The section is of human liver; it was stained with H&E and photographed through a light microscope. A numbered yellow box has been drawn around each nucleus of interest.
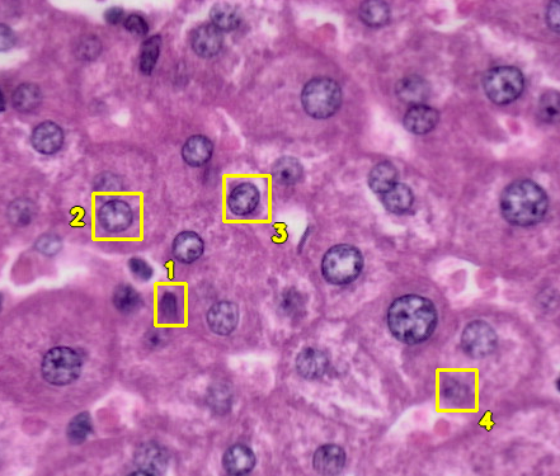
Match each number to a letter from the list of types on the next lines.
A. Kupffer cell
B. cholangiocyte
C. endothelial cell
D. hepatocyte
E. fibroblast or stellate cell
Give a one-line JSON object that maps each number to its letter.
{"1": "E", "2": "D", "3": "D", "4": "D"}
